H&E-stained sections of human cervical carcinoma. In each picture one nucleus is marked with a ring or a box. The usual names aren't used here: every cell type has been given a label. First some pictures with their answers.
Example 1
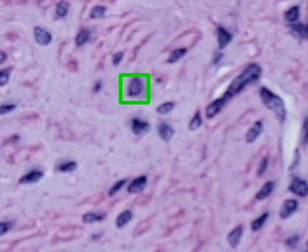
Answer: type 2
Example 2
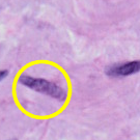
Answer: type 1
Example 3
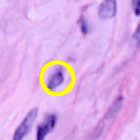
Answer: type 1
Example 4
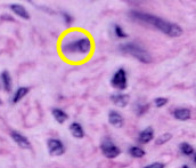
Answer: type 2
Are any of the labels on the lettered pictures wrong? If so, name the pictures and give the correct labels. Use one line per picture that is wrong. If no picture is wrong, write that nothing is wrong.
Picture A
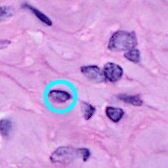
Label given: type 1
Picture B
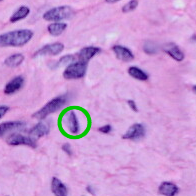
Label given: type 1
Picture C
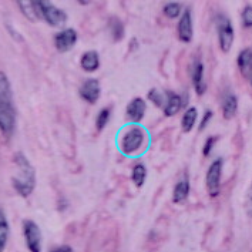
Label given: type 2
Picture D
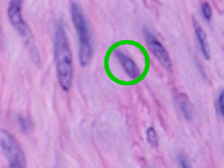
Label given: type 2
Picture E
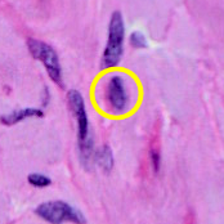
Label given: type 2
E should be type 1, not type 2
